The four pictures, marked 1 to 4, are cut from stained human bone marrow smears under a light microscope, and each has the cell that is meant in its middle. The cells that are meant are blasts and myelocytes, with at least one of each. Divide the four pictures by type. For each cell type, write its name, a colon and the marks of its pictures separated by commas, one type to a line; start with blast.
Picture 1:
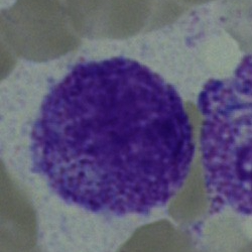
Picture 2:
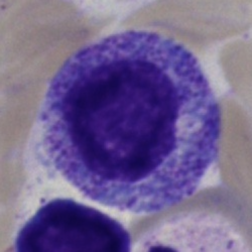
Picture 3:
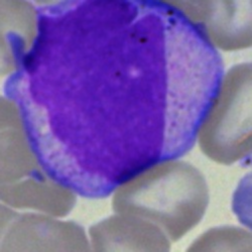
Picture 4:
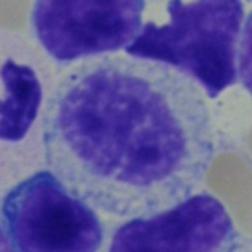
blast: 3
myelocyte: 1, 2, 4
